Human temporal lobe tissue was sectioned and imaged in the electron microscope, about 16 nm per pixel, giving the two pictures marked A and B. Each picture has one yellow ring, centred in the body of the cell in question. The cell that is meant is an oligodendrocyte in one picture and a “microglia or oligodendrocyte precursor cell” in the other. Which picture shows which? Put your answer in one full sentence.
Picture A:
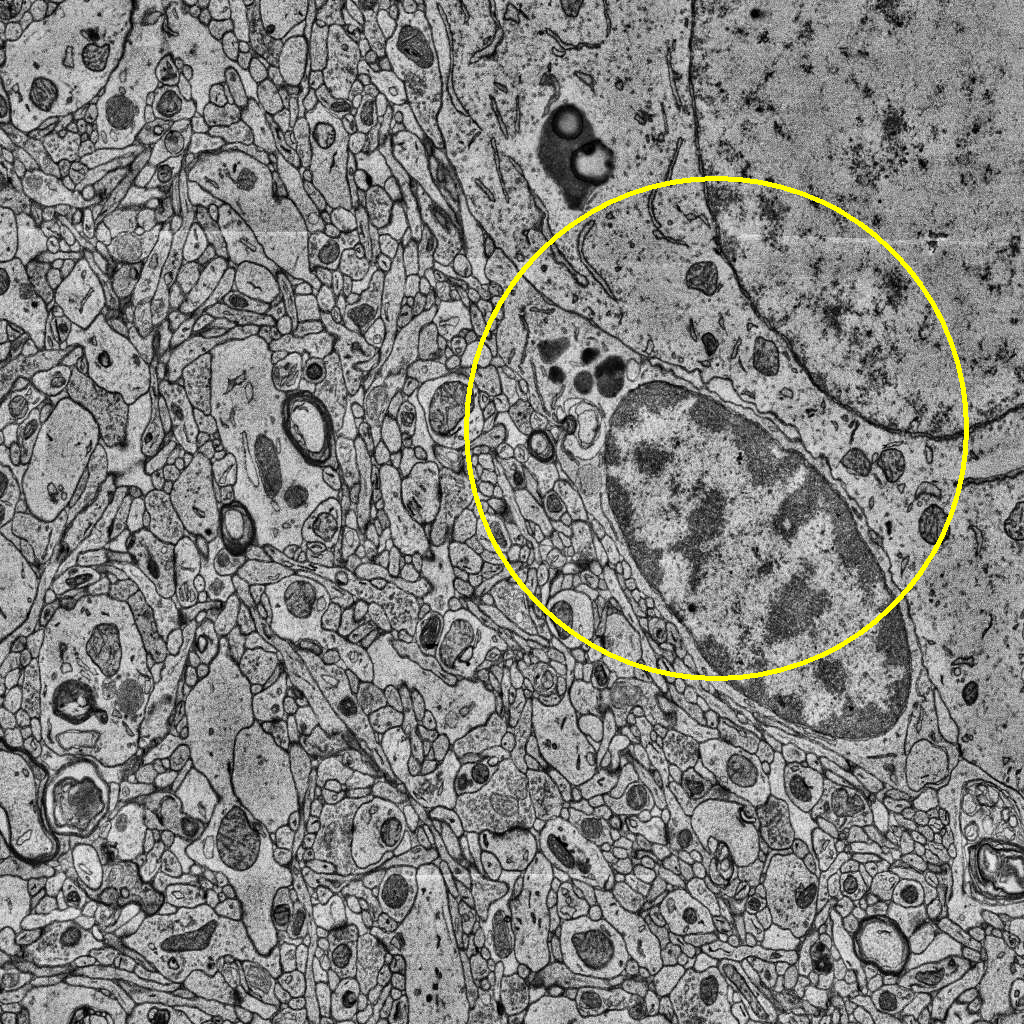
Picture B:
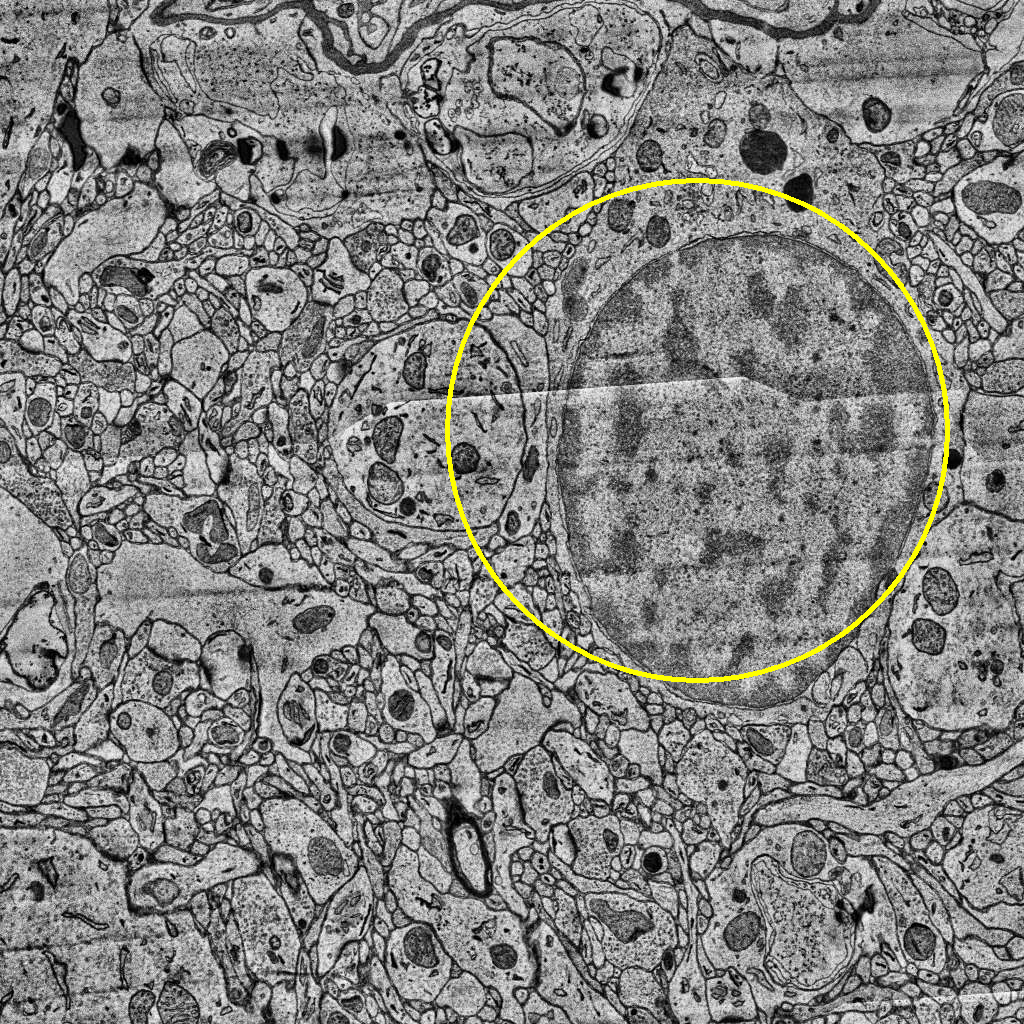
The cell in picture A is a “microglia or oligodendrocyte precursor cell”, and the one in picture B is an oligodendrocyte.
